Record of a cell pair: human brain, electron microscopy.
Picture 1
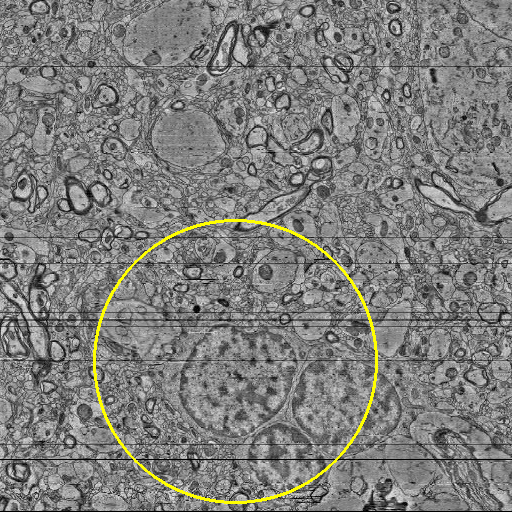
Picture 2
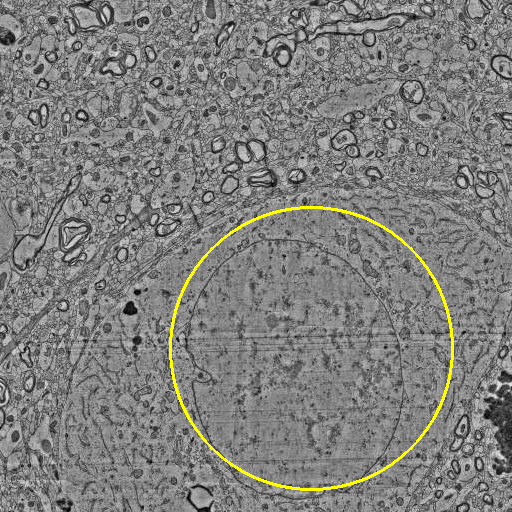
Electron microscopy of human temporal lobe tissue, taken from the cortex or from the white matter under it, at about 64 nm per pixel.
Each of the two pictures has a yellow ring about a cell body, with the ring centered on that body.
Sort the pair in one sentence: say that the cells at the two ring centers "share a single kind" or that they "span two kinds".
The cells centered in the rings of Pictures 1 and 2 span two kinds.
